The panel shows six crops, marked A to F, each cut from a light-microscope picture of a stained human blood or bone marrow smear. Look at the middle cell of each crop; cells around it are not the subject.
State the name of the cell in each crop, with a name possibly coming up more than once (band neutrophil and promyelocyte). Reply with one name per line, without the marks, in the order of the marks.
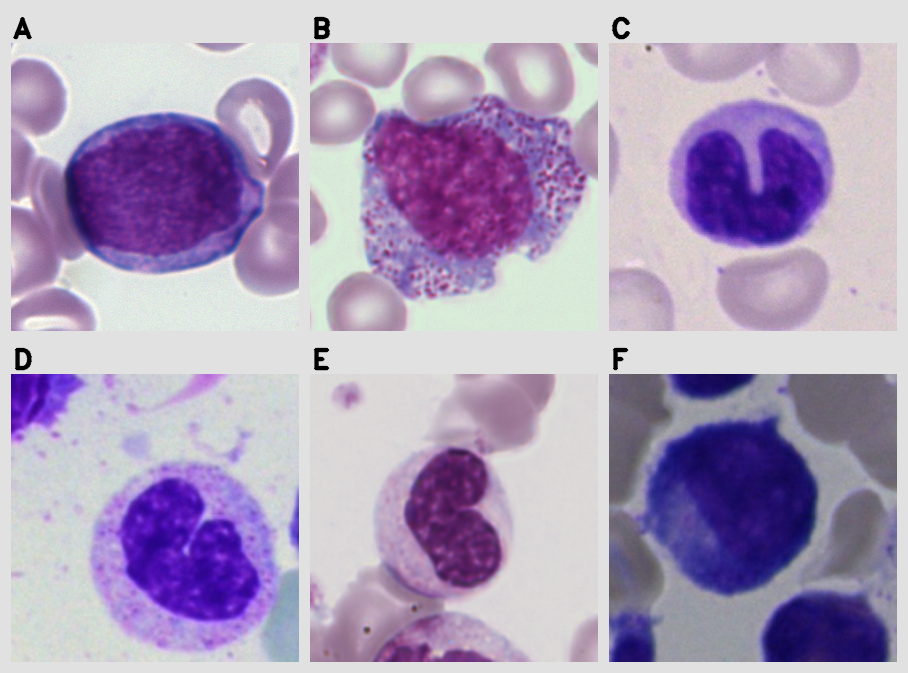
promyelocyte
promyelocyte
band neutrophil
band neutrophil
band neutrophil
promyelocyte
